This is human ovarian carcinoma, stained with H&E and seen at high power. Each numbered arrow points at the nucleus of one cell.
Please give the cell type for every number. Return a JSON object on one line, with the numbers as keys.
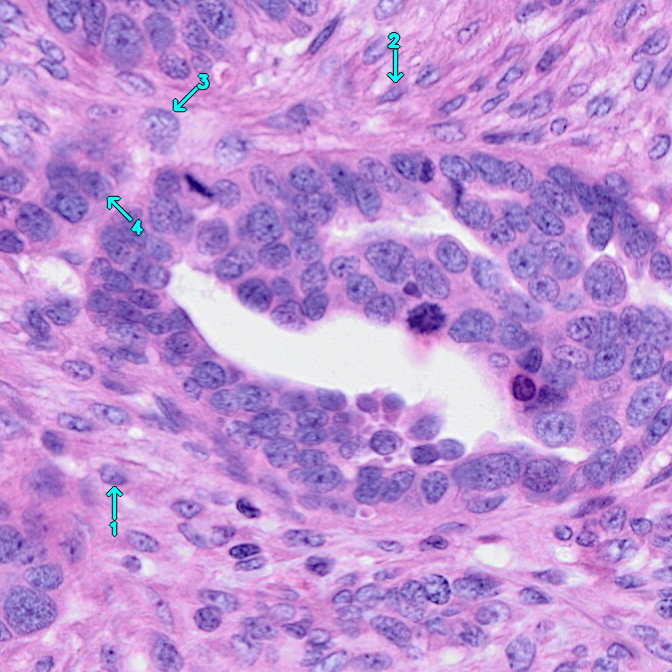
{"1": "fibroblast", "2": "fibroblast", "3": "fibroblast", "4": "carcinoma cell"}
